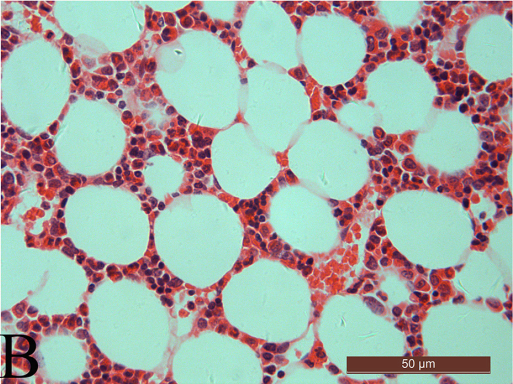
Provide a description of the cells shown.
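This is bone marrow in which fat cells take up most of the space. Large round to polygonal clear vacuoles of fairly similar size, the marrow fat cells, fill the field and lie close to one another. Between them run narrow cords of hematopoietic cells with small dark purple nuclei. Red blood cells appear as small pink-red discs within these cords. No bone is seen in this field.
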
